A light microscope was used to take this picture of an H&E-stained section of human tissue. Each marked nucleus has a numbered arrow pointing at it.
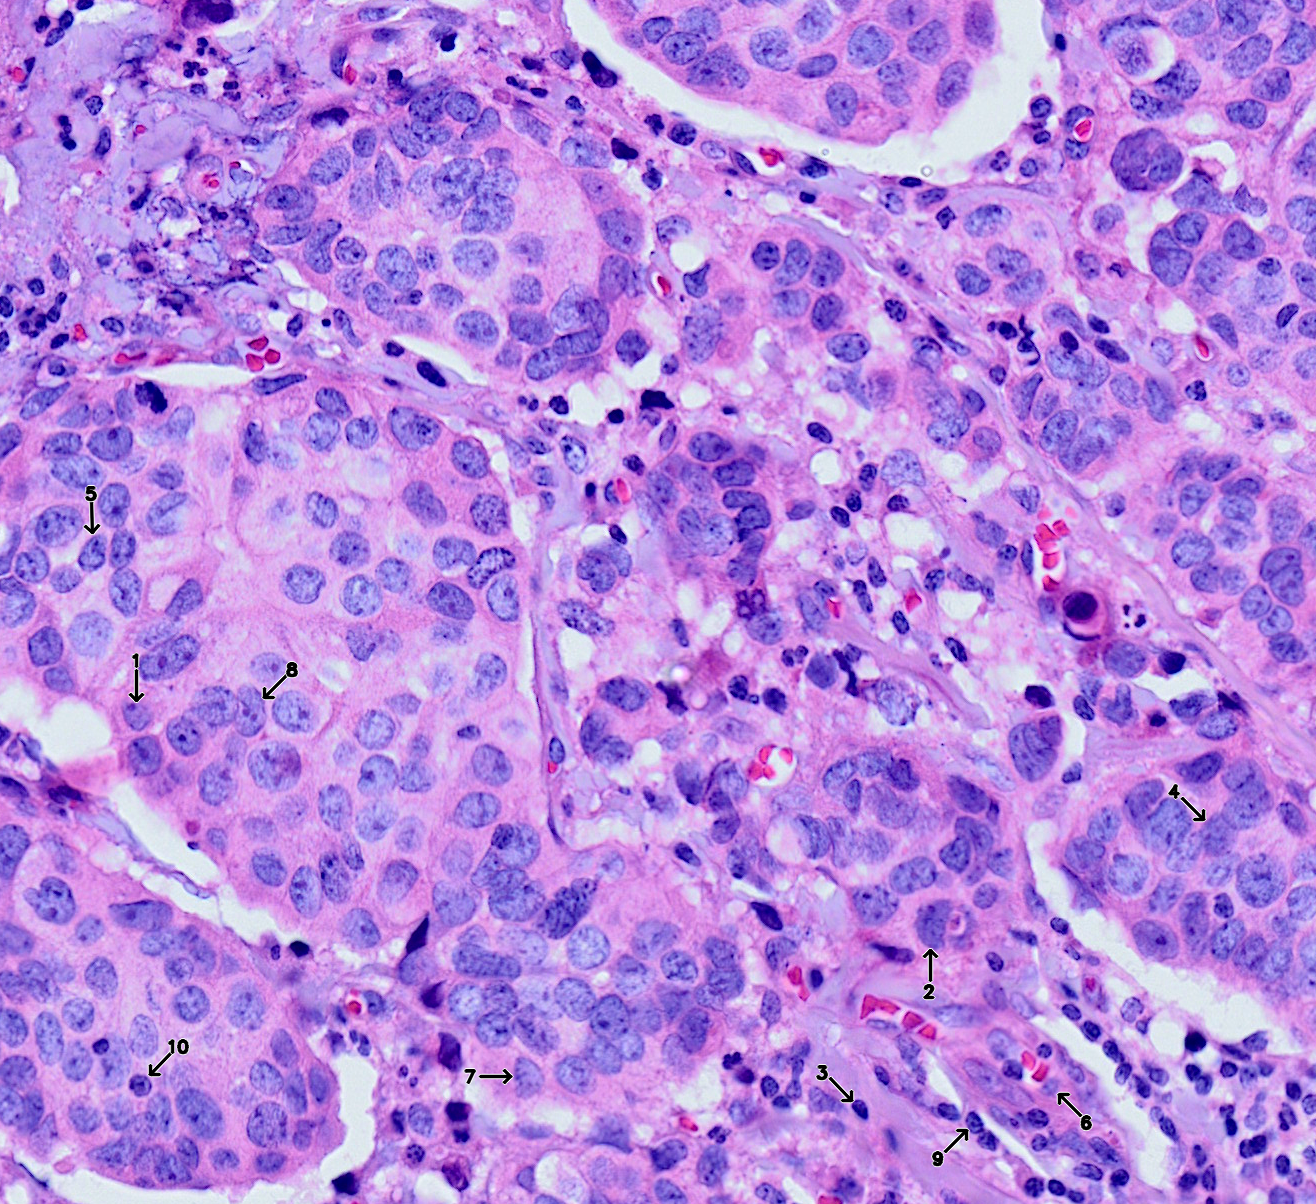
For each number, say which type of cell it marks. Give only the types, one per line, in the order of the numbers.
carcinoma cell
carcinoma cell
lymphocyte
carcinoma cell
carcinoma cell
endothelial cell
carcinoma cell
carcinoma cell
lymphocyte
lymphocyte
